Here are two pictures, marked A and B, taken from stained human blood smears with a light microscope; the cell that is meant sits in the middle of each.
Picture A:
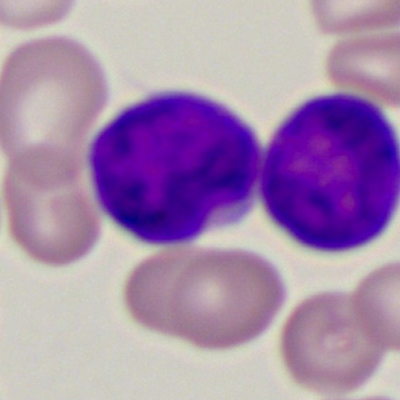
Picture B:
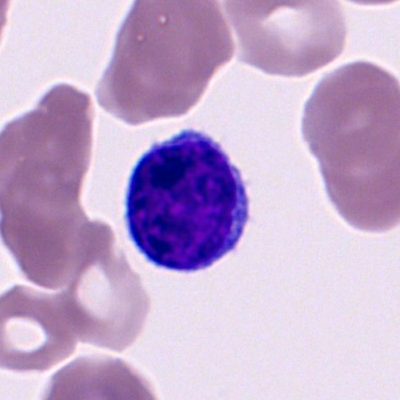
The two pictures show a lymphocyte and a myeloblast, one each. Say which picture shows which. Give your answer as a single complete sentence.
In picture A the cell is a myeloblast; in picture B, a lymphocyte.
